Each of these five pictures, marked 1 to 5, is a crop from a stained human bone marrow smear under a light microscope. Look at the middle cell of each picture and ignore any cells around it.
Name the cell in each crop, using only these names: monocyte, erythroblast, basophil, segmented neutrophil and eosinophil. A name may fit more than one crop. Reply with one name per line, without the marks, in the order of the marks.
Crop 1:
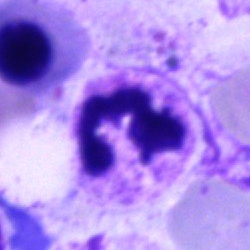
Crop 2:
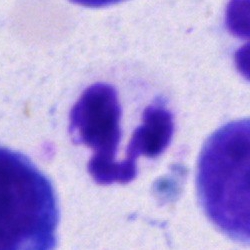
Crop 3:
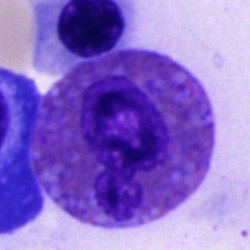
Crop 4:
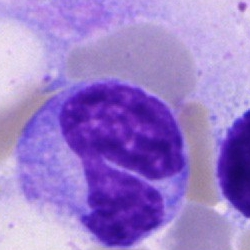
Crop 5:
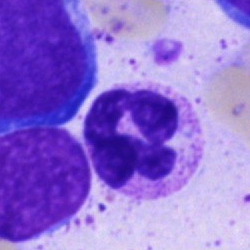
segmented neutrophil
segmented neutrophil
eosinophil
monocyte
segmented neutrophil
